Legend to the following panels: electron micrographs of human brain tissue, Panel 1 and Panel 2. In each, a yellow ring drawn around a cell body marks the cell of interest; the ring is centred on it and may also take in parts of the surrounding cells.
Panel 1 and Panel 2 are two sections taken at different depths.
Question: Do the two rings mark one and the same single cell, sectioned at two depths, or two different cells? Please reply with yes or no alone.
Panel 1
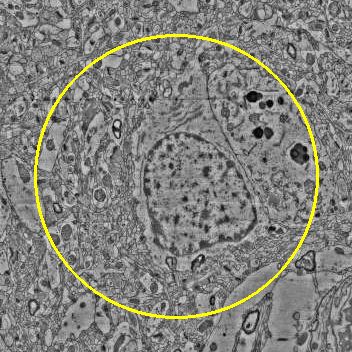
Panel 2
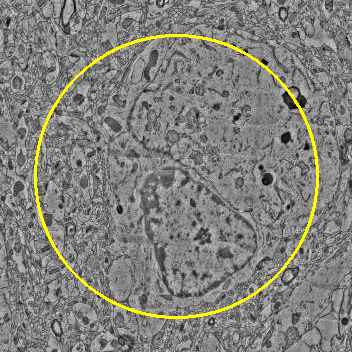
yes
